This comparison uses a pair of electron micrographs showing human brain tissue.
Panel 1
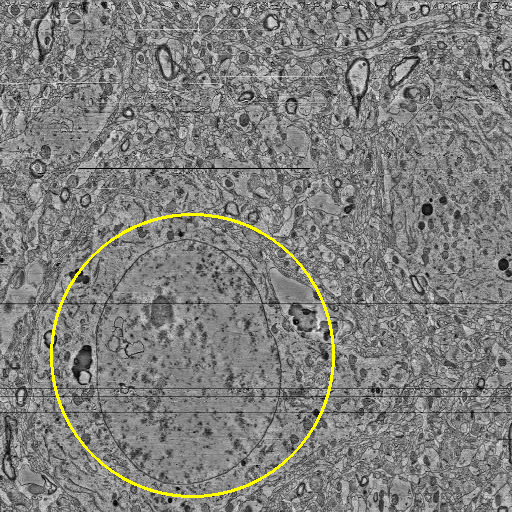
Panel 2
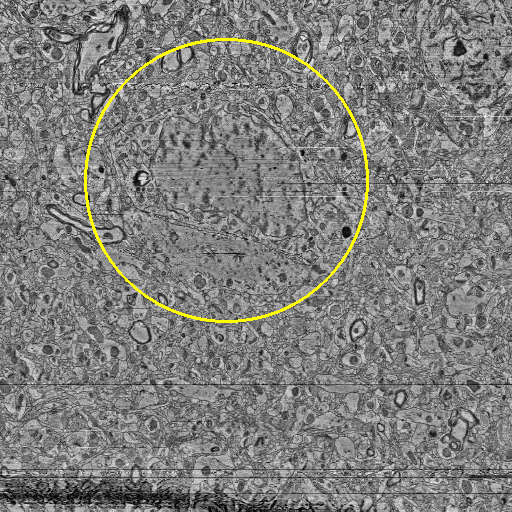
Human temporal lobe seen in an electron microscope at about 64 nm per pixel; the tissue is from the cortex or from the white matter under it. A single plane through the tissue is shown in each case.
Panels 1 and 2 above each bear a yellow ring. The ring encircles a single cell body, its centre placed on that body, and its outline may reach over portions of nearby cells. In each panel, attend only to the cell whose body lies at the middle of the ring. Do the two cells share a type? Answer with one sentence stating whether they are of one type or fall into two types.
In Panel 1 and Panel 2, the cells at the centres of the rings fall into two types.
